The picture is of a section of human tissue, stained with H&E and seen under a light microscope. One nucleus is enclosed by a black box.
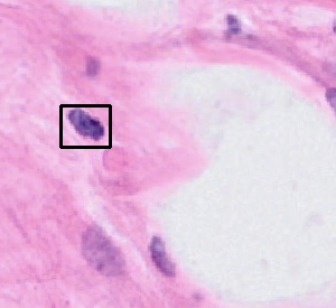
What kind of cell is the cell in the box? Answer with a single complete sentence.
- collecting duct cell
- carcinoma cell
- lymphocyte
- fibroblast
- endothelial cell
At the level of cell identity, the cell in the box is a lymphocyte.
